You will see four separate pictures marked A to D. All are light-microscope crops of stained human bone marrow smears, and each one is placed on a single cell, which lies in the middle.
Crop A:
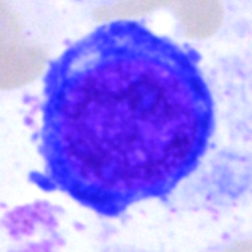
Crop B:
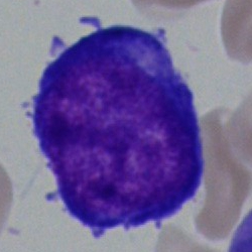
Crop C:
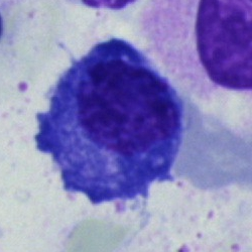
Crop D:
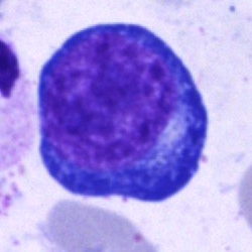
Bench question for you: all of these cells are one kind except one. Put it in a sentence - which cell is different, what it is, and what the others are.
Crop C stands apart from the rest as a plasma cell, the others all being proerythroblasts.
